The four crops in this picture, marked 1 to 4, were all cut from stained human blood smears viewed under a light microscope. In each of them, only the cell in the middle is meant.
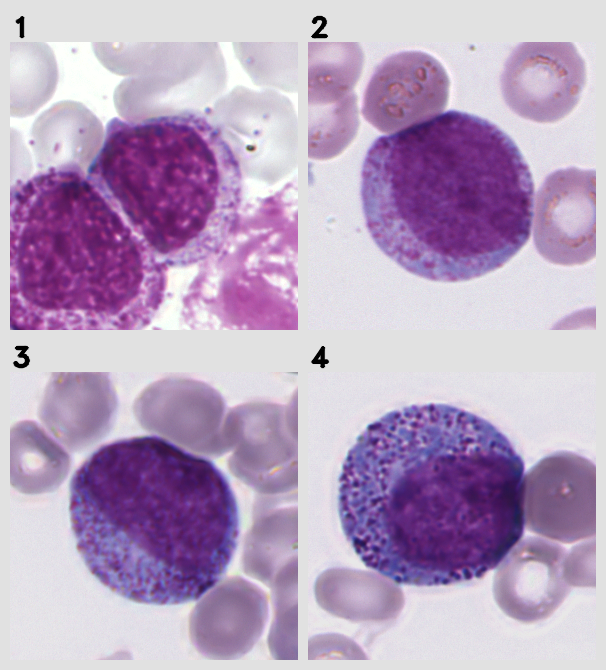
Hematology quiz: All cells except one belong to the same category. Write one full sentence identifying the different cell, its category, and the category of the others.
All of the other crops show promyelocytes; crop 1, by contrast, is a myelocyte.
